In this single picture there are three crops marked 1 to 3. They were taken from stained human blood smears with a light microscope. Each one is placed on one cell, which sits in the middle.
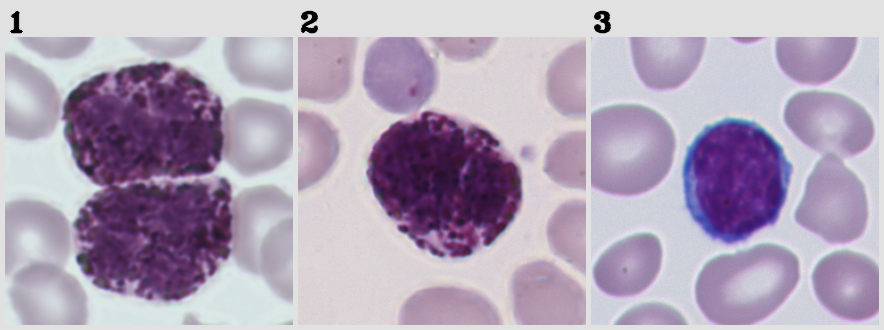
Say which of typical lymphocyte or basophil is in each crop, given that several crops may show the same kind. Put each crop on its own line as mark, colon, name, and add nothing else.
1: basophil
2: basophil
3: typical lymphocyte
